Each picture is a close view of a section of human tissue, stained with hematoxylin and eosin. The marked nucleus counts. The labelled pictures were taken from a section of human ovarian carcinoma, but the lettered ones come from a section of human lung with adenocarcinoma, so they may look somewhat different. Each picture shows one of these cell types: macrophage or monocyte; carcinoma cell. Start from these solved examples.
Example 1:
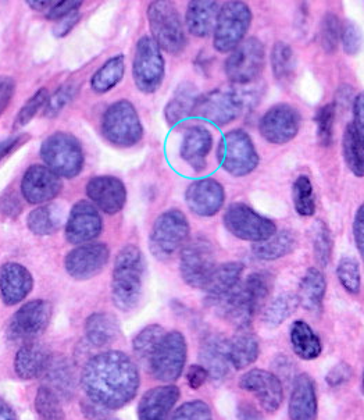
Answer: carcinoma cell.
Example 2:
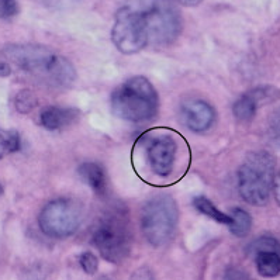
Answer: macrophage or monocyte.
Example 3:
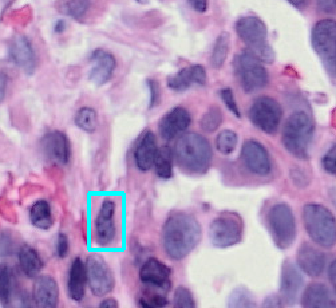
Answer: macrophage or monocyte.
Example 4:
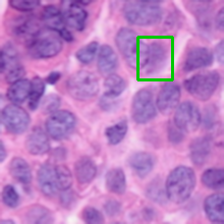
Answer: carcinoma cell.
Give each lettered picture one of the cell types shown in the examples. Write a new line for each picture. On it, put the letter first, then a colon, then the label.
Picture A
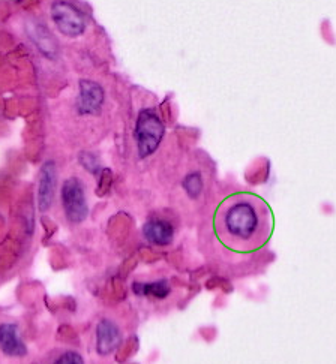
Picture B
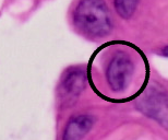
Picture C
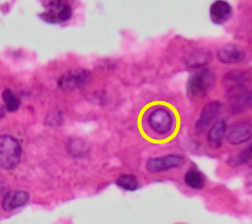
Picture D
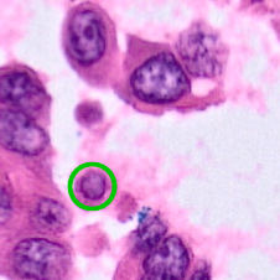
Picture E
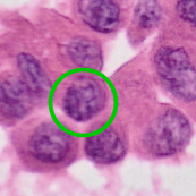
A: macrophage or monocyte.
B: carcinoma cell.
C: macrophage or monocyte.
D: macrophage or monocyte.
E: carcinoma cell.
